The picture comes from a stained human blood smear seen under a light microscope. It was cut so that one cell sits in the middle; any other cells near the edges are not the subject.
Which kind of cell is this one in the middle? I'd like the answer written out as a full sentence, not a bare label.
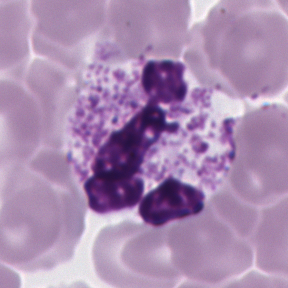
Among the cells in view, the one in the middle is a segmented neutrophil.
